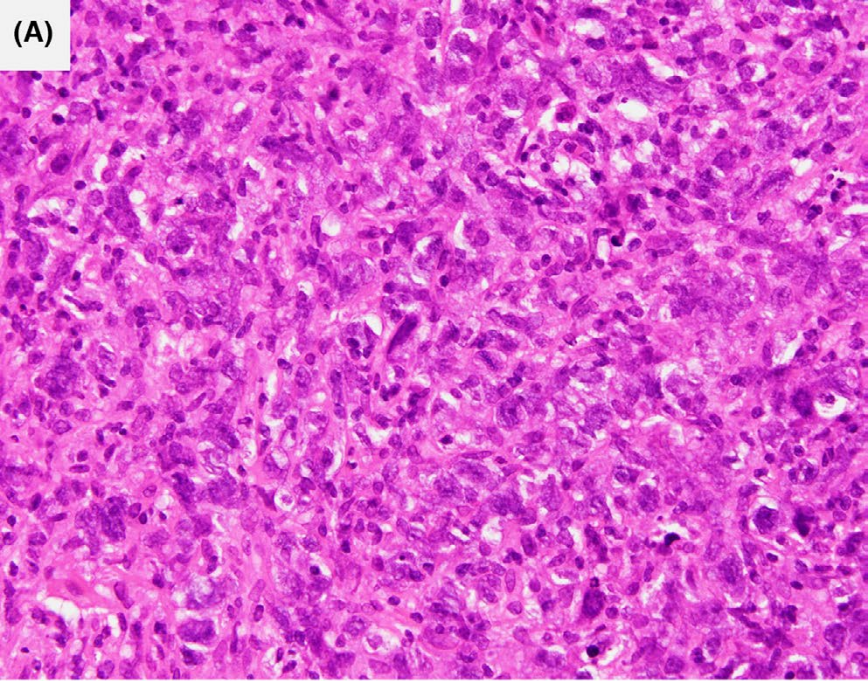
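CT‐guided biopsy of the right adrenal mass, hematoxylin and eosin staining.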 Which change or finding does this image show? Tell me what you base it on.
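Sheets of densely packed cells fill the whole field without glandular or organ architecture. Nuclei vary markedly in size and shape, some very large and hyperchromatic.
Answer: proliferation of atypical cells with a high nuclear‐to‐cytoplasmic ratio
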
